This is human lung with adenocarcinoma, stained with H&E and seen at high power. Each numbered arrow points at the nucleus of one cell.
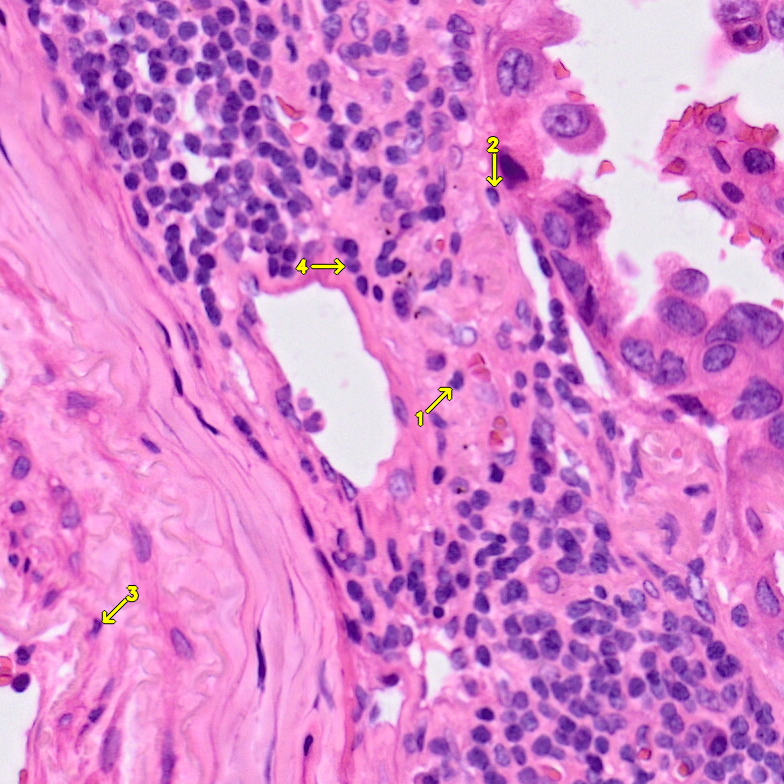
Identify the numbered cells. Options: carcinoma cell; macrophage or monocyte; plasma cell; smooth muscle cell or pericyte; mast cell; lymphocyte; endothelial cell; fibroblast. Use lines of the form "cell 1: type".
cell 1: lymphocyte
cell 2: lymphocyte
cell 3: smooth muscle cell or pericyte
cell 4: lymphocyte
